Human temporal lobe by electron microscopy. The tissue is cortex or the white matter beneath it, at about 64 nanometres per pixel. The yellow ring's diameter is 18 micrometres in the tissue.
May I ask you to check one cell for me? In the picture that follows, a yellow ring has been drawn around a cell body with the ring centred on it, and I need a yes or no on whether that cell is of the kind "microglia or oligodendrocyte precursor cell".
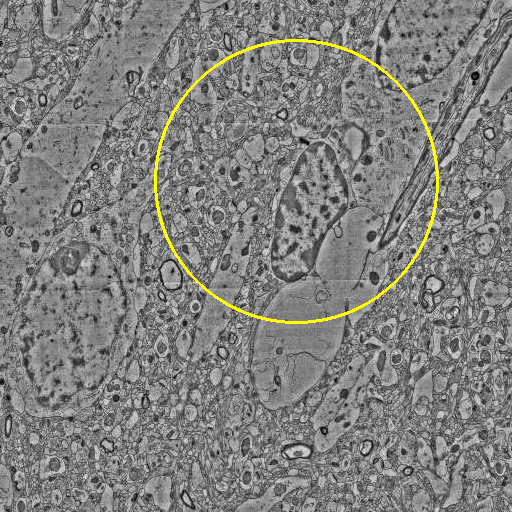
Yes, it is that kind of cell.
